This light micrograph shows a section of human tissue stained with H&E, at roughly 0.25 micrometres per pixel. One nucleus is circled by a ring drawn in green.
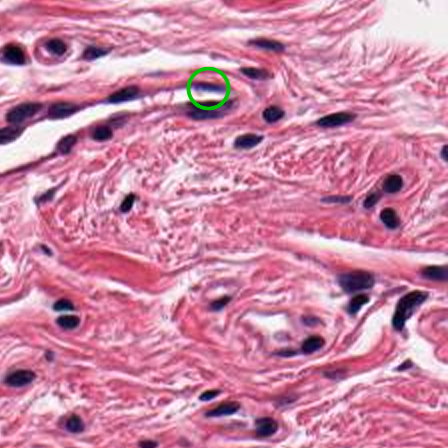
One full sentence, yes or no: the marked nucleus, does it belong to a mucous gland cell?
No, the marked nucleus belongs not to a mucous gland cell but to a supporting cell of connective tissue, a vessel or the immune system.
